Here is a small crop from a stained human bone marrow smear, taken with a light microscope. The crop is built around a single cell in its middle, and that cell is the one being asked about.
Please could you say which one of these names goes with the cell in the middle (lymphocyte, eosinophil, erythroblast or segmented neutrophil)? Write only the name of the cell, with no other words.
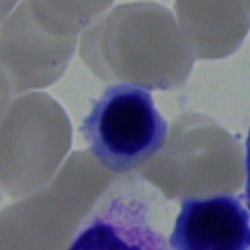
erythroblast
